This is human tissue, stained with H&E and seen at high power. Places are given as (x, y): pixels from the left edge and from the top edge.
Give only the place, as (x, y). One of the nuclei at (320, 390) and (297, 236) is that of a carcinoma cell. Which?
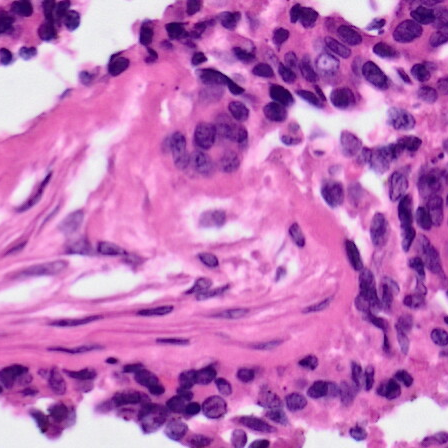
(320, 390)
